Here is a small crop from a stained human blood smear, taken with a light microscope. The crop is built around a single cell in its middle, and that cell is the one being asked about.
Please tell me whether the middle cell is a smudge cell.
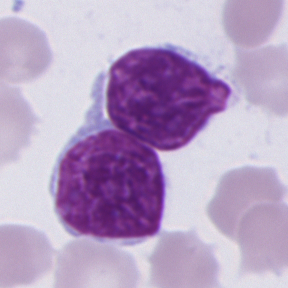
no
